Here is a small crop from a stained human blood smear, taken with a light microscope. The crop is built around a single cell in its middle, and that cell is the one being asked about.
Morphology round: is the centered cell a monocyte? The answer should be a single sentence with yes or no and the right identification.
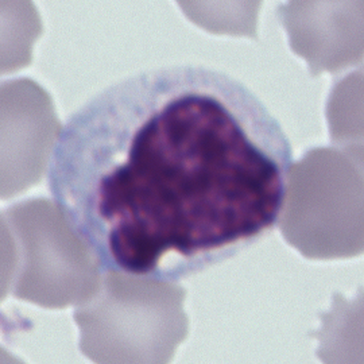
Yes, the cell shown centrally is a monocyte.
